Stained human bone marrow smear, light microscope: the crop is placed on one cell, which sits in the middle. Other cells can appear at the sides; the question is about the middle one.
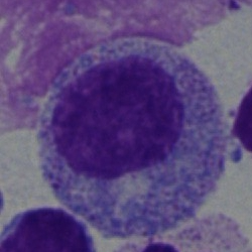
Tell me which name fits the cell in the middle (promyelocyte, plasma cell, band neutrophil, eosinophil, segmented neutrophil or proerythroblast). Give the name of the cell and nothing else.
promyelocyte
